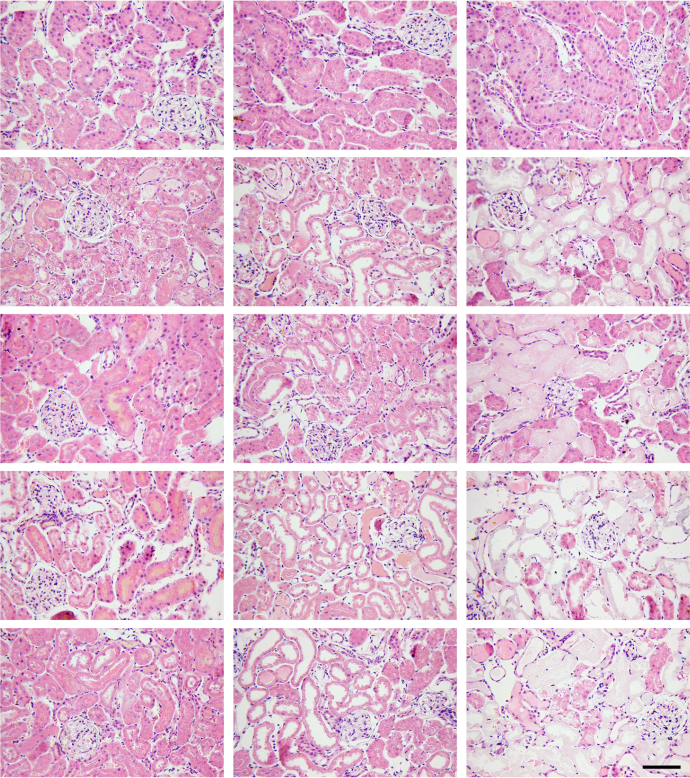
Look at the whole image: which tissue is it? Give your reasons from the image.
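Renal tissue. Round tufts of capillaries inside a capsule space, like glomeruli, appear in several images. Most of each image is filled with tubular profiles lined by pink epithelium around lumens.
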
